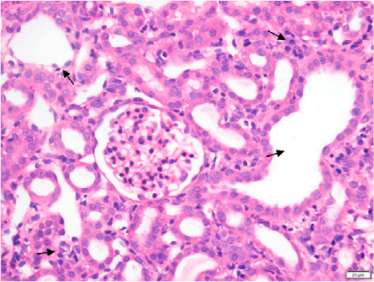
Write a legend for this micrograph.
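This is kidney cortex with a glomerulus in the centre, surrounded by tubules that are clearly abnormal. Many tubules are dilated with wide empty lumina and thin, flattened lining cells, while others look shrunken, and the spaces between tubules are crowded with small dark nuclei of infiltrating cells.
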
